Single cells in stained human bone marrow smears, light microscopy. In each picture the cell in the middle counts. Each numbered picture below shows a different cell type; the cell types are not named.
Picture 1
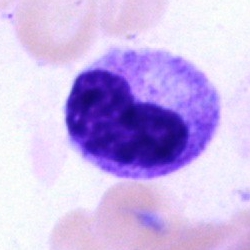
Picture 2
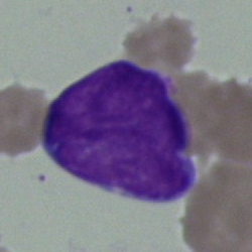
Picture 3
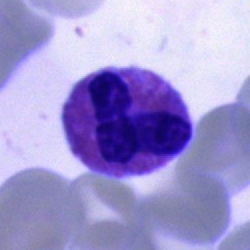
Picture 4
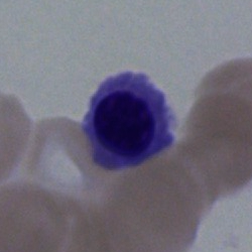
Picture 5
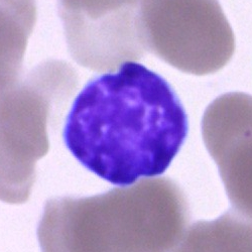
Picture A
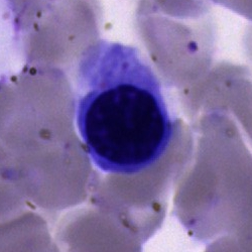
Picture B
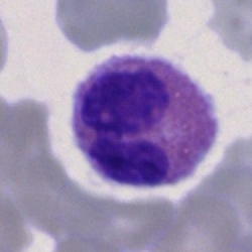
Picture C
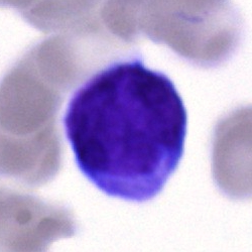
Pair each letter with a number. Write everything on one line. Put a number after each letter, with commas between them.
A 4, B 3, C 2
